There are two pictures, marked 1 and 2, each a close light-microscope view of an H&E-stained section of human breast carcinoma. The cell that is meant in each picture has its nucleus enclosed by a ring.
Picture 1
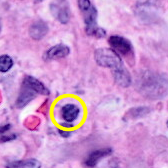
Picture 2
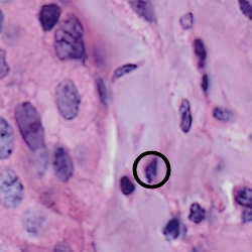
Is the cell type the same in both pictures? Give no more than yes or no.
no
